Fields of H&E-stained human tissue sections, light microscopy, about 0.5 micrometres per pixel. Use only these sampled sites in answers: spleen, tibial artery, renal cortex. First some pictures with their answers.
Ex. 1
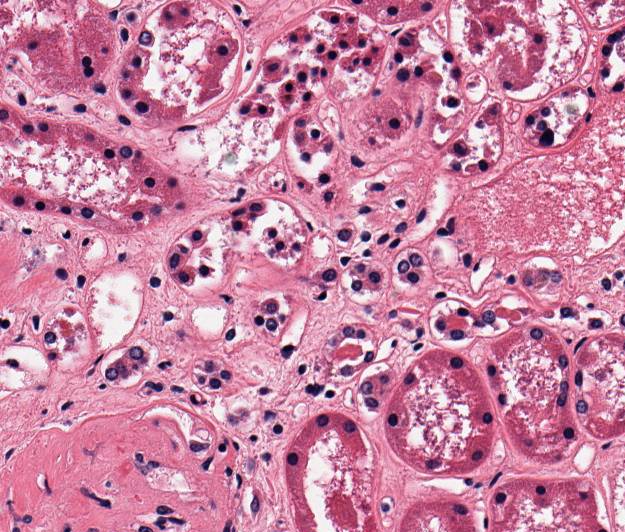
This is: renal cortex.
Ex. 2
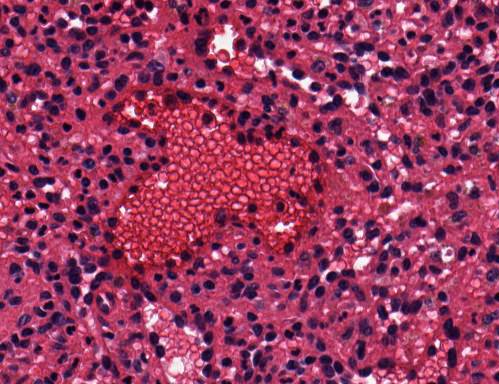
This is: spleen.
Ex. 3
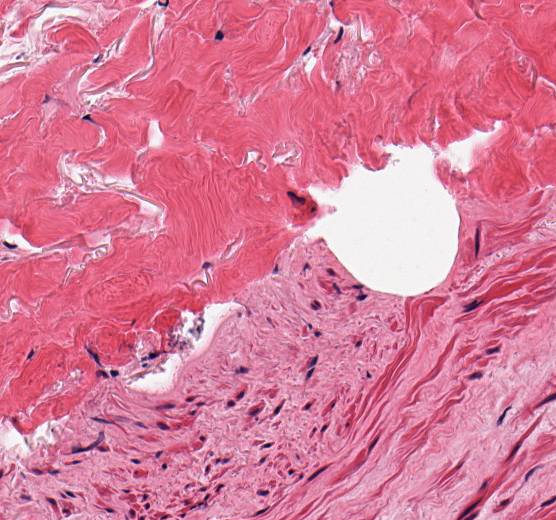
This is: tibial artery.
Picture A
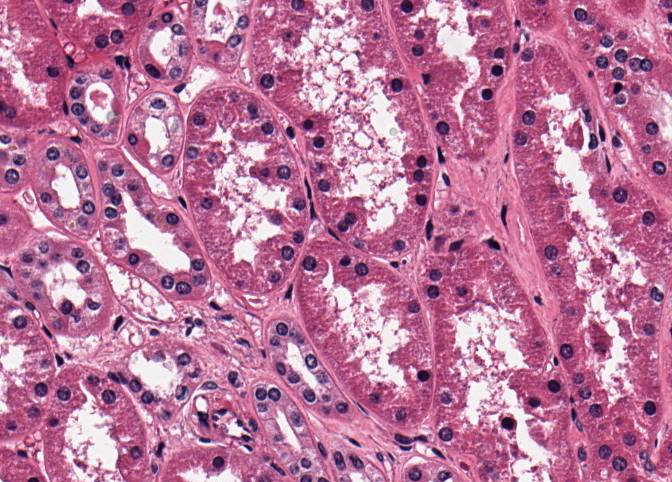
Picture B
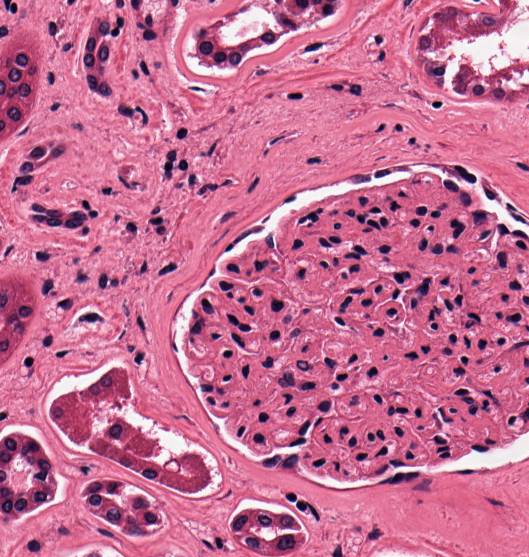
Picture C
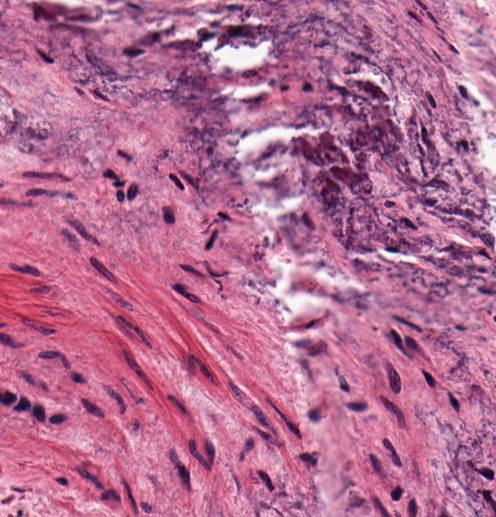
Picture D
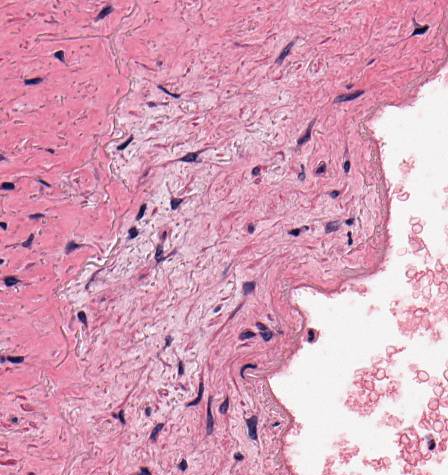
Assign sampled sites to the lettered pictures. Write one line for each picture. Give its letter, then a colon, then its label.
A: renal cortex.
B: renal cortex.
C: tibial artery.
D: tibial artery.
